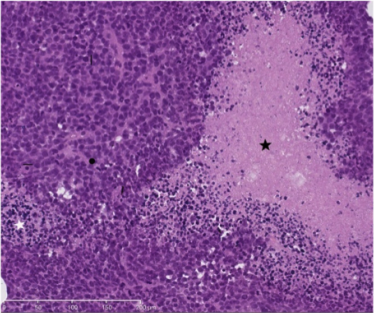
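Tumor tissue stained with hematoxylin and eosin showing a large area of necrosis beside viable tumor. On the left, tumor cells are densely packed in sheets, with dark purple round to oval nuclei and scant cytoplasm. On the right a broad pale pink zone lacks intact cells; it contains only scattered dark nuclear fragments and a few paler homogeneous patches. The border between the viable sheets and the necrotic zone is irregular, with a rim of crowded darker nuclei. A few small clear spaces lie within the viable tumor.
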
